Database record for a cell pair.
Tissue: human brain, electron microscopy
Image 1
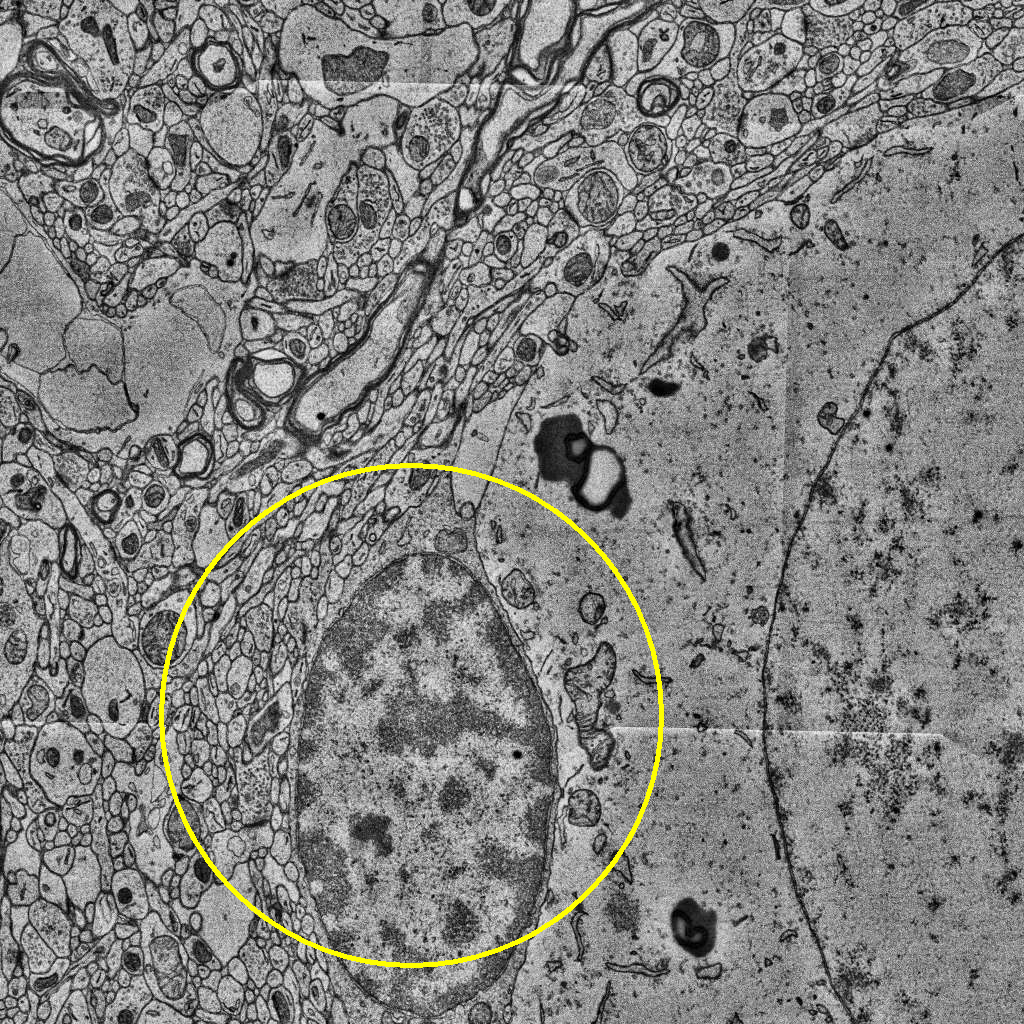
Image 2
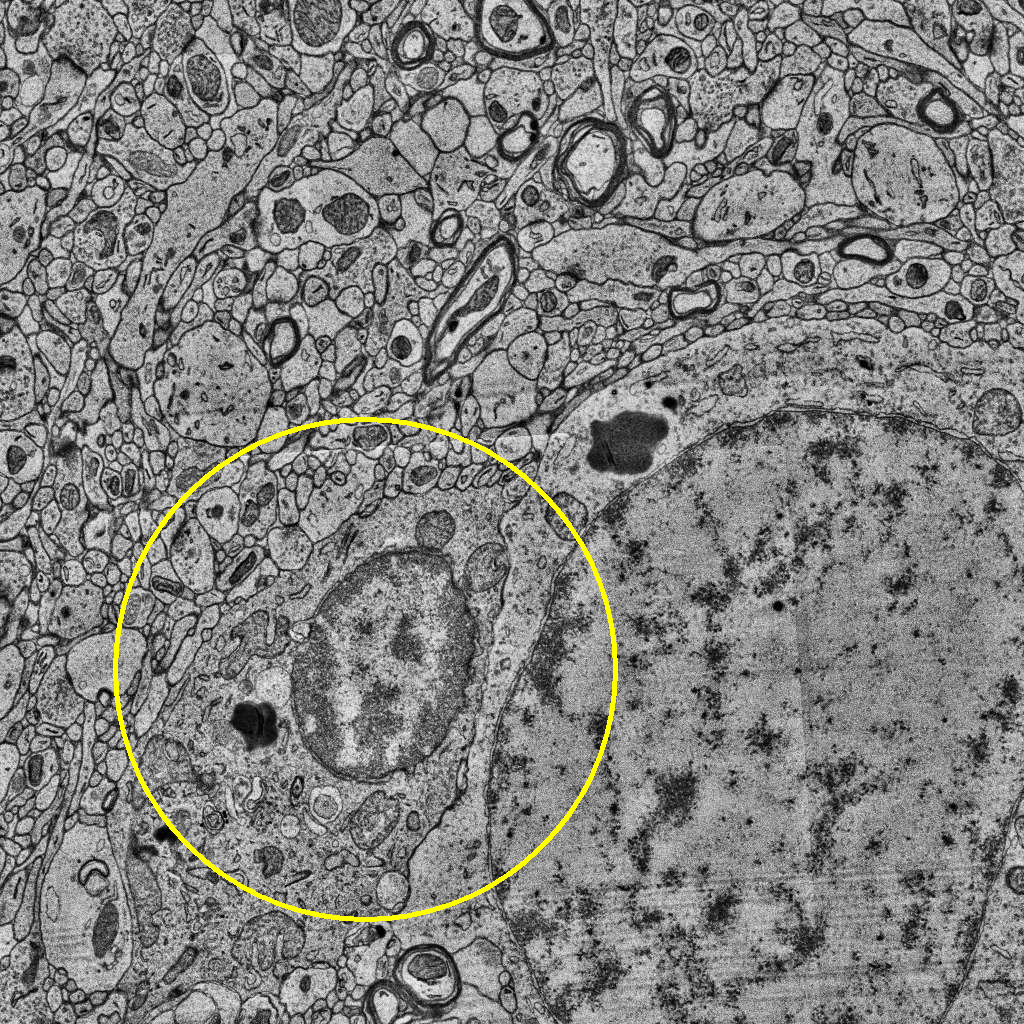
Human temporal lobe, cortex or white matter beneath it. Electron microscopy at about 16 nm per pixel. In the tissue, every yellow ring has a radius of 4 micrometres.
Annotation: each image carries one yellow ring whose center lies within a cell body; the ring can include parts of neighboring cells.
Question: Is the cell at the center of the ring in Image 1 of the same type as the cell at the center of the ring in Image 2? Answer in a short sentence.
Yes, the cells are of the same type.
